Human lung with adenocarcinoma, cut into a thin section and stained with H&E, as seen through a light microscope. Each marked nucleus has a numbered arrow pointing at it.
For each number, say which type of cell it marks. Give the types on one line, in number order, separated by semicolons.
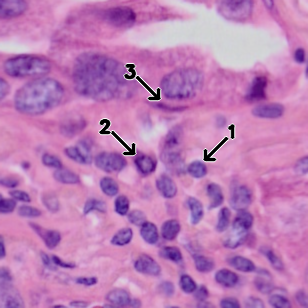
lymphocyte; plasma cell; carcinoma cell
